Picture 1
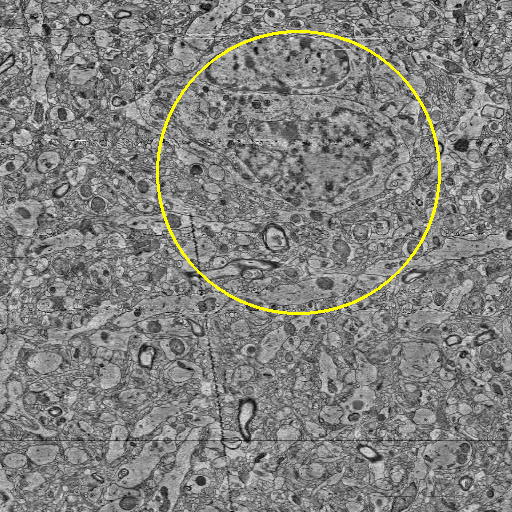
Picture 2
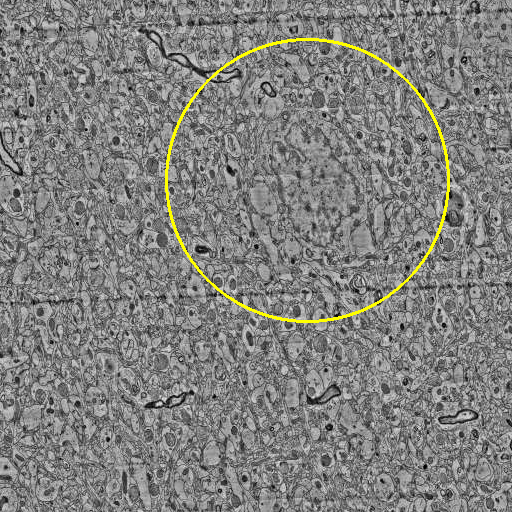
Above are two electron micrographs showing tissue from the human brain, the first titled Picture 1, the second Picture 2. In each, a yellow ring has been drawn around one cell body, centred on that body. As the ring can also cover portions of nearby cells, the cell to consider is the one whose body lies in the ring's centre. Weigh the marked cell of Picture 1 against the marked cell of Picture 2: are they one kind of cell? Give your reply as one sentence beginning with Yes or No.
Yes, the two cells sitting at the ring centres in the pictures are of one kind.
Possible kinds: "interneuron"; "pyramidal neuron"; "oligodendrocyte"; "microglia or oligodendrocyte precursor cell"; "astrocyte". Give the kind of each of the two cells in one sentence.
The cell at the ring centre is an interneuron in both pictures.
